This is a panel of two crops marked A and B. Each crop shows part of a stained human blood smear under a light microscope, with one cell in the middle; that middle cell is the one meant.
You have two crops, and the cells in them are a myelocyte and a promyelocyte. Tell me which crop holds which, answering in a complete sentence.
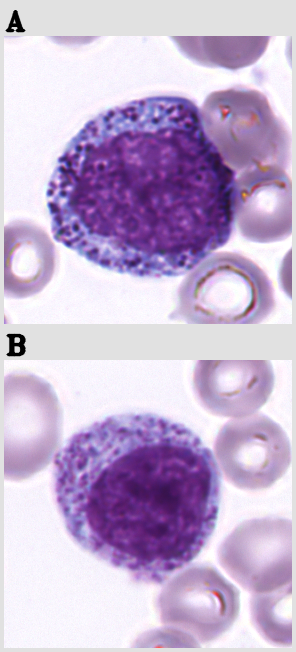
Crop A contains a promyelocyte, and crop B contains a myelocyte.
